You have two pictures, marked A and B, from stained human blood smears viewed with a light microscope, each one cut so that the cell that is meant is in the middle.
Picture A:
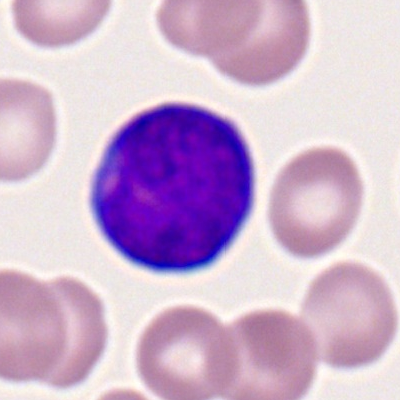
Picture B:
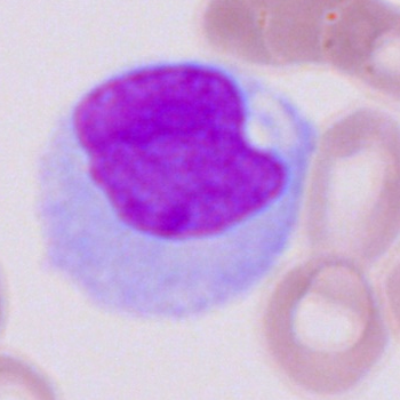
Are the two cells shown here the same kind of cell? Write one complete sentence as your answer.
No, picture A shows a myeloblast and picture B shows a monocyte.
